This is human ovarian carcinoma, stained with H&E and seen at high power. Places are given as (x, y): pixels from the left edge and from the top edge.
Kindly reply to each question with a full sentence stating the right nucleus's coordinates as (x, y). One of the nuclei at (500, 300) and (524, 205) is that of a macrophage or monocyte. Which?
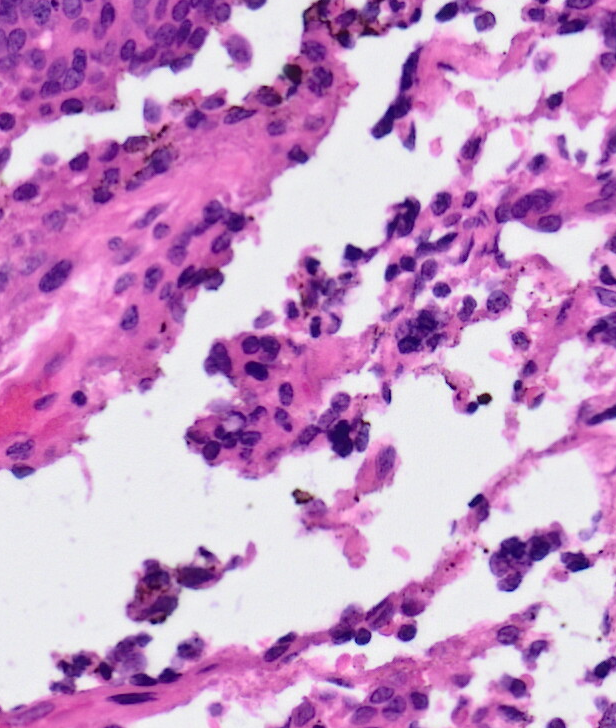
Of the two nuclei, it is the one at (500, 300) that lies within a macrophage or monocyte.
